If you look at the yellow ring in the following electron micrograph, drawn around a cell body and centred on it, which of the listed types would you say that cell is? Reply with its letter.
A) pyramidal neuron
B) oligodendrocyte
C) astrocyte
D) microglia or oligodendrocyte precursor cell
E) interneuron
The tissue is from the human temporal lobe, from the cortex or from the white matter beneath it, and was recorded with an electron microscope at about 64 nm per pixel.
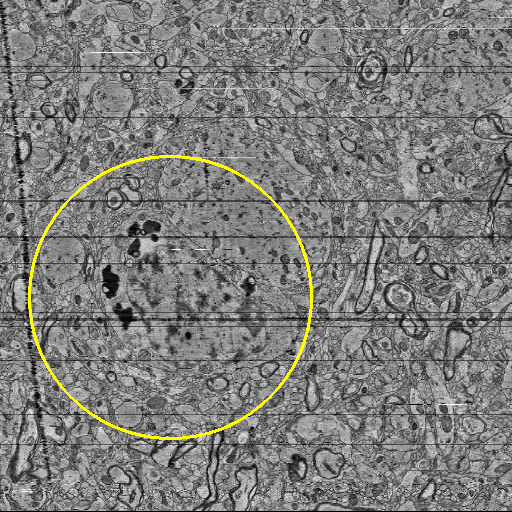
E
